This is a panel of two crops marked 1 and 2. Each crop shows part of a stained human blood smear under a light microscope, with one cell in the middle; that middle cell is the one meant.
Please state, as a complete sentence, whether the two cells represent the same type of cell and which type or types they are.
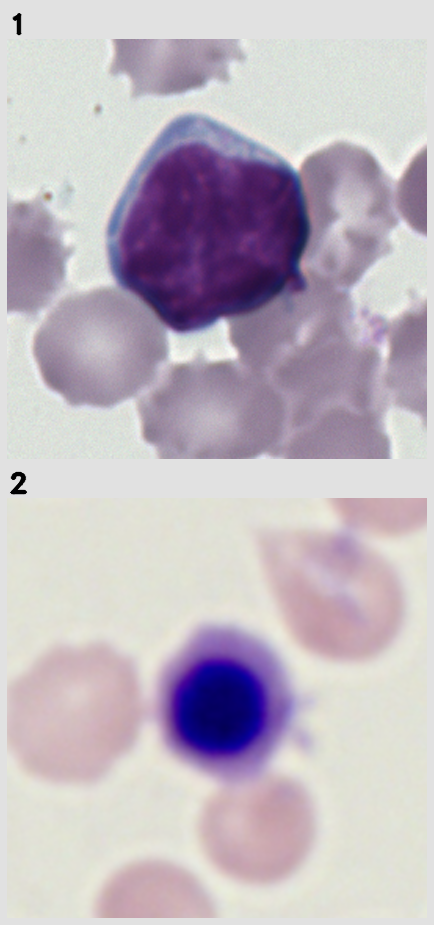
No, whereas crop 1 shows a lymphocyte, crop 2 shows an erythroblast.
